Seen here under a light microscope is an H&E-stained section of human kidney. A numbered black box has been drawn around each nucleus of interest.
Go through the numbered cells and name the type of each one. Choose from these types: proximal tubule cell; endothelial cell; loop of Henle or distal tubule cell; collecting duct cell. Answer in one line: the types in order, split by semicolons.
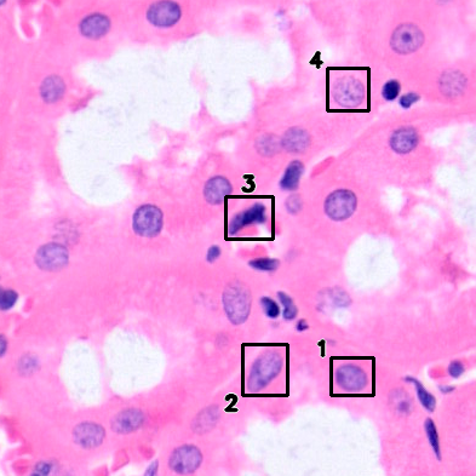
proximal tubule cell; proximal tubule cell; endothelial cell; proximal tubule cell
